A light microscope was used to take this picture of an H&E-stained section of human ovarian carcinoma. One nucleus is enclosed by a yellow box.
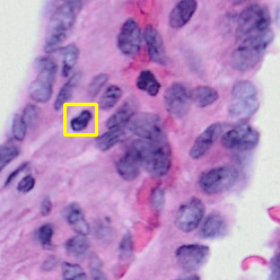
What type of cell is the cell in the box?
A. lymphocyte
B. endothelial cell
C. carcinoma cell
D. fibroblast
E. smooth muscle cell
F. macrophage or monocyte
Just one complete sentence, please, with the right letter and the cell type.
The item is answered by option A: the cell in the box is a lymphocyte.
